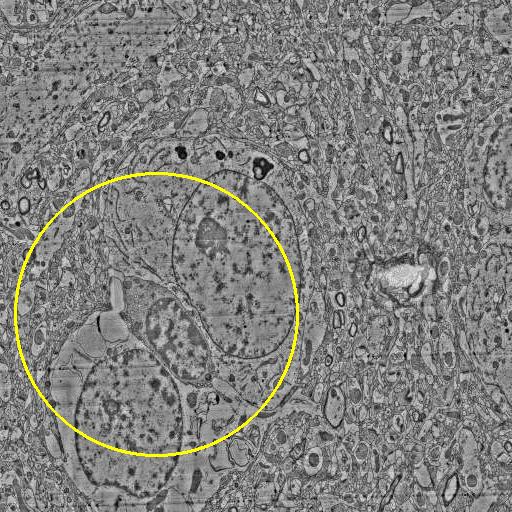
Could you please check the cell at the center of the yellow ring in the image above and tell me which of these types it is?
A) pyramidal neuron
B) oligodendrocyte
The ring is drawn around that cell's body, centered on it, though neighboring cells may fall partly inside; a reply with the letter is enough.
B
